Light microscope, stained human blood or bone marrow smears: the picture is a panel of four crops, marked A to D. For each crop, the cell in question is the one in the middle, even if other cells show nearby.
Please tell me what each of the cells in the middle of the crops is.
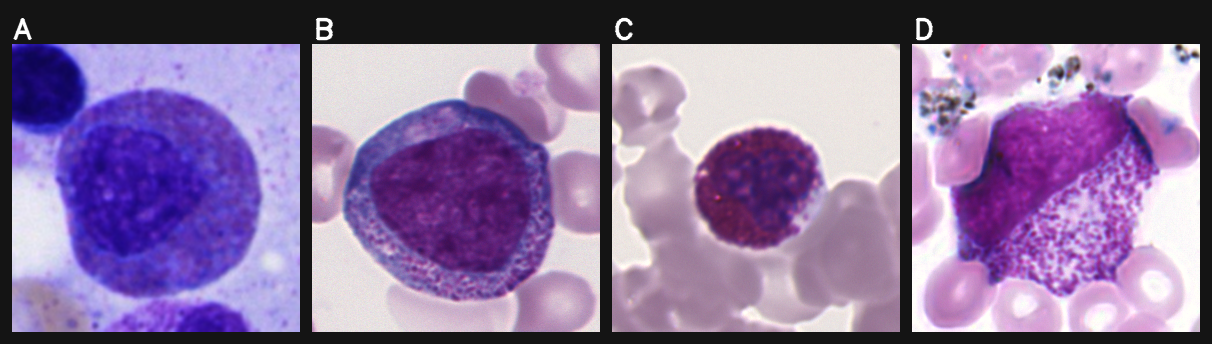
A: eosinophil
B: promyelocyte
C: eosinophil
D: promyelocyte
